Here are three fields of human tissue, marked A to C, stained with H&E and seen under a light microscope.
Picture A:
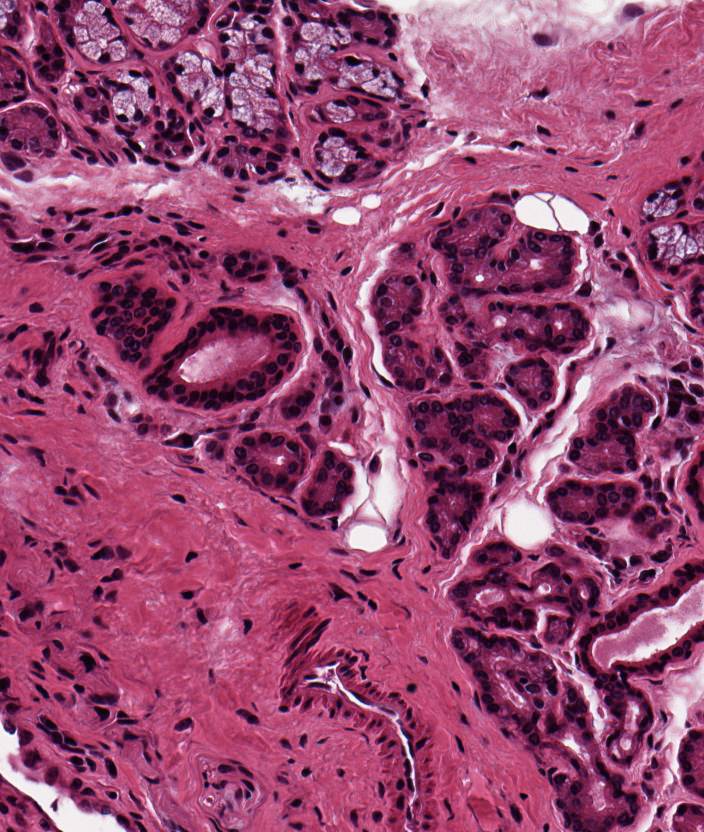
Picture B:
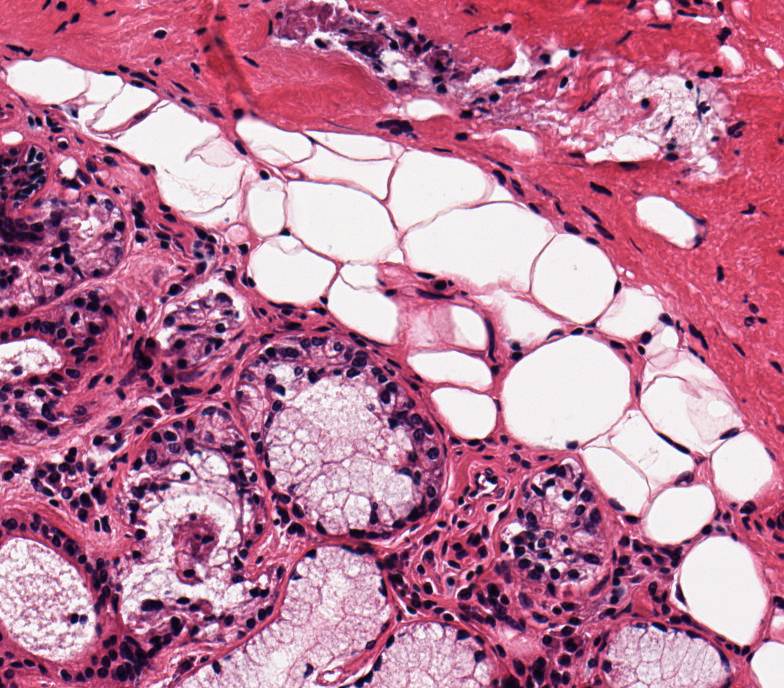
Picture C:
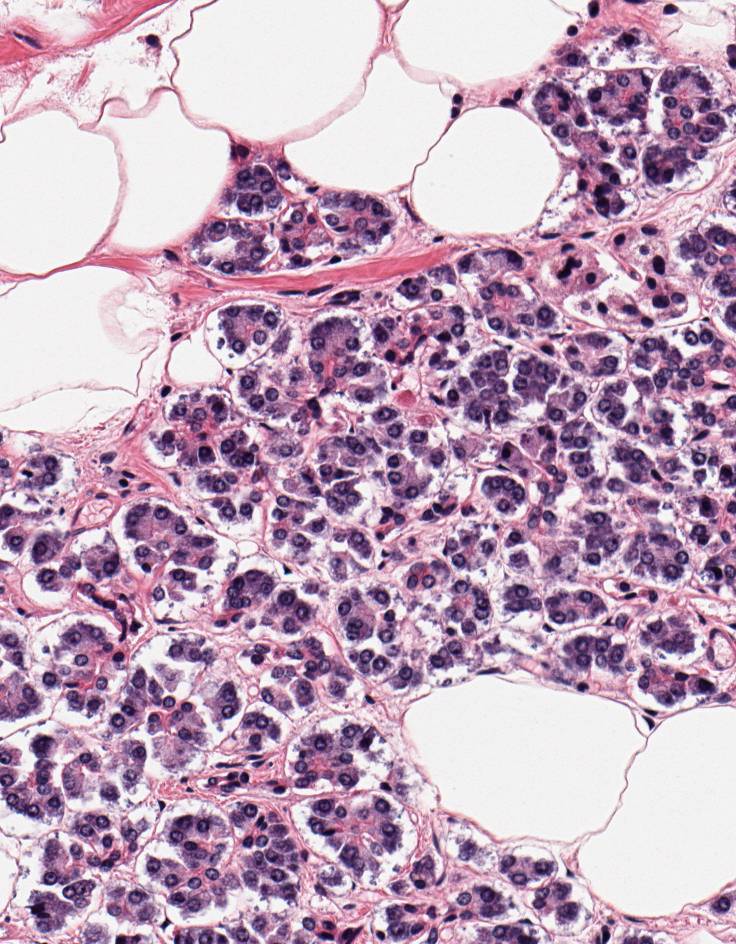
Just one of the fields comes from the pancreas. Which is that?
C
